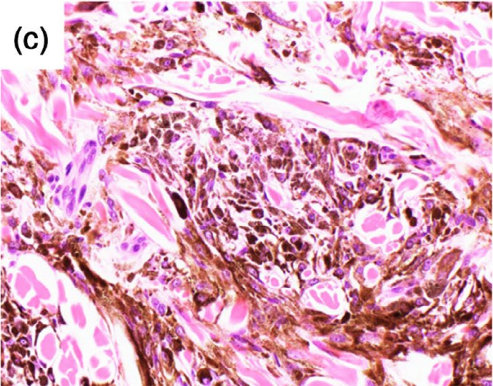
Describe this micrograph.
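Dermal proliferation of pigmented epithelioid and spindled melanocytes. Cells are plump, many with cytoplasm so filled with dark brown granular pigment that nuclei are partly obscured; where visible, nuclei are oval with purple chromatin. Cells are arranged in loose sheets and fascicles threading between thick pink collagen bundles, which appear in cross and longitudinal section. Pigment is also dispersed in the stroma between cells. No epidermis is in view.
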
